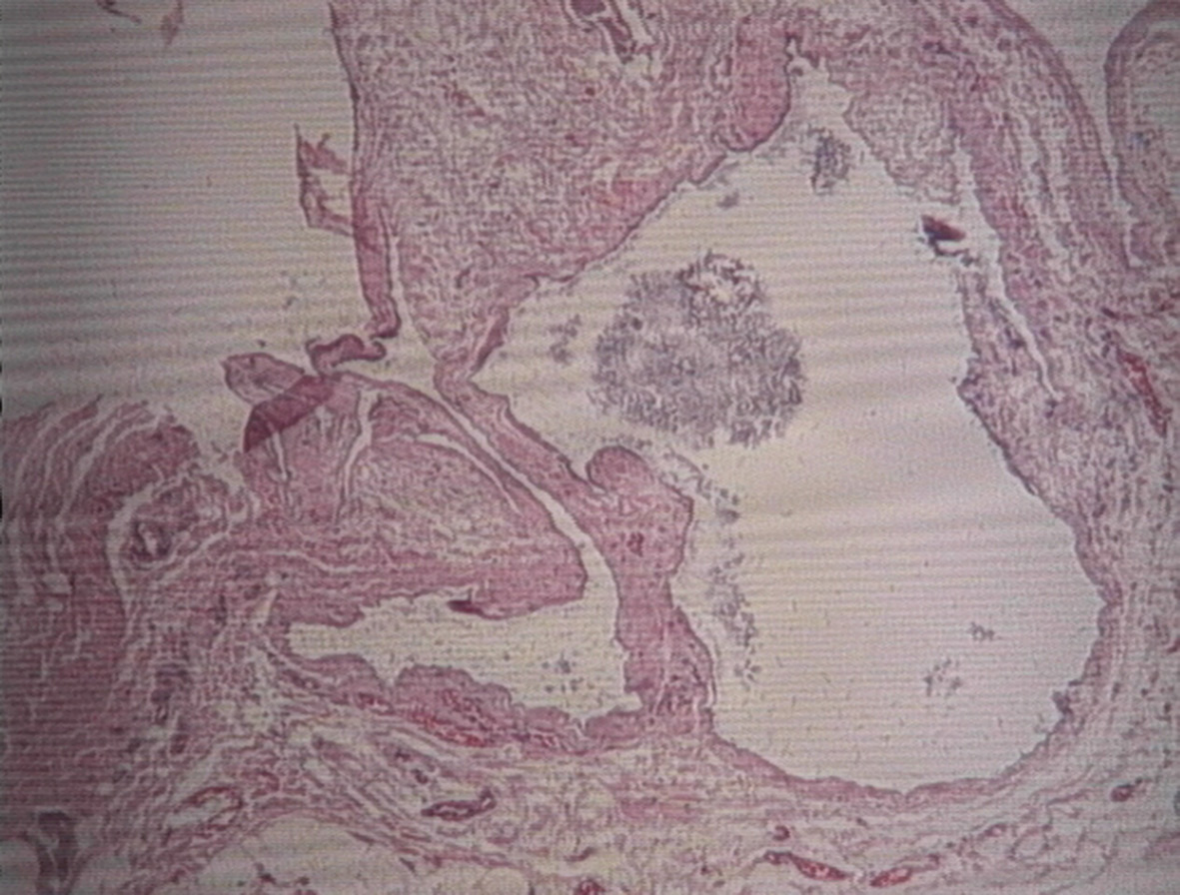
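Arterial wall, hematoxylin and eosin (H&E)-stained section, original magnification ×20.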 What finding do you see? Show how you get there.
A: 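A large, rounded, mostly empty cavity lies within the pink-stained tissue. The cavity is bounded by a band of eosinophilic fibrous wall. Pale grey-blue flocculent material floats within the cavity. The answer: cystic lesion.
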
